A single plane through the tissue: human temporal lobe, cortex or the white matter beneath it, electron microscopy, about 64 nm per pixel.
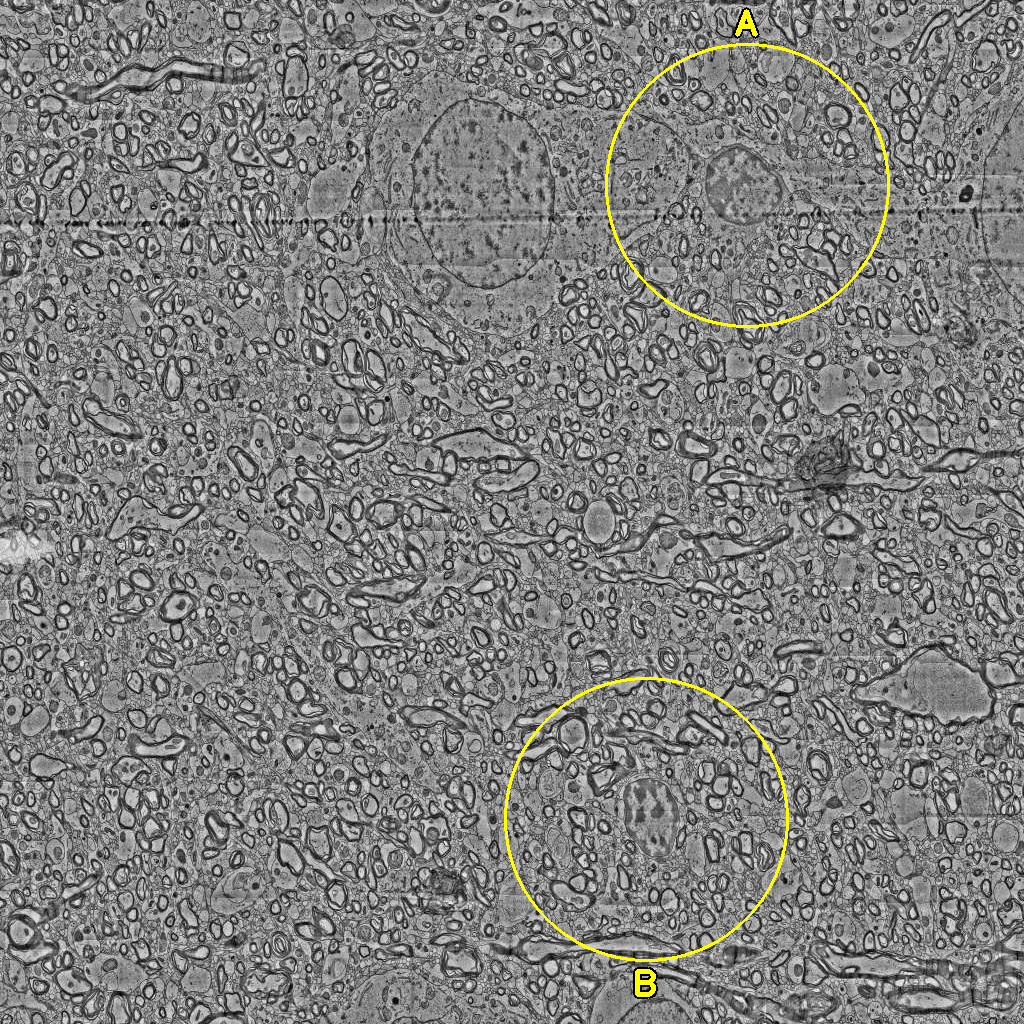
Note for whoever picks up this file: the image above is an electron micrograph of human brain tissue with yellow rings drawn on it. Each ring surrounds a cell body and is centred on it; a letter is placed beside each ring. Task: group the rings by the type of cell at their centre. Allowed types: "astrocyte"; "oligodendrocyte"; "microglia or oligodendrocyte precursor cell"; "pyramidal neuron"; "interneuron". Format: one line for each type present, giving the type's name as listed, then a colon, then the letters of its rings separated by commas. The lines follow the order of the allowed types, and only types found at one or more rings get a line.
oligodendrocyte: A
microglia or oligodendrocyte precursor cell: B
